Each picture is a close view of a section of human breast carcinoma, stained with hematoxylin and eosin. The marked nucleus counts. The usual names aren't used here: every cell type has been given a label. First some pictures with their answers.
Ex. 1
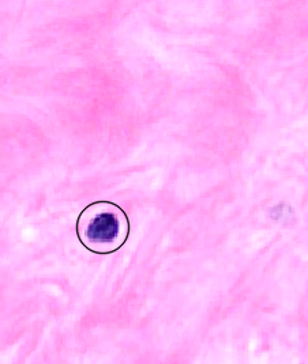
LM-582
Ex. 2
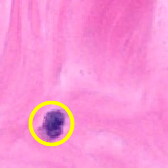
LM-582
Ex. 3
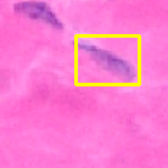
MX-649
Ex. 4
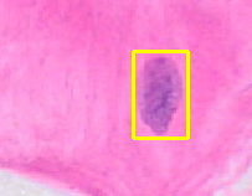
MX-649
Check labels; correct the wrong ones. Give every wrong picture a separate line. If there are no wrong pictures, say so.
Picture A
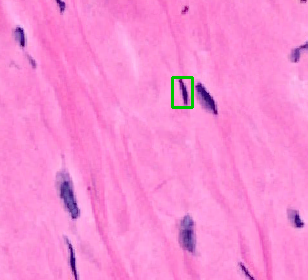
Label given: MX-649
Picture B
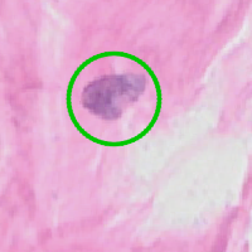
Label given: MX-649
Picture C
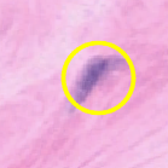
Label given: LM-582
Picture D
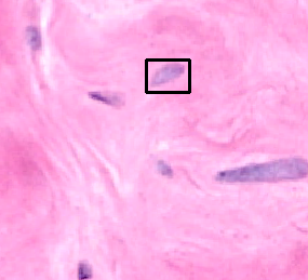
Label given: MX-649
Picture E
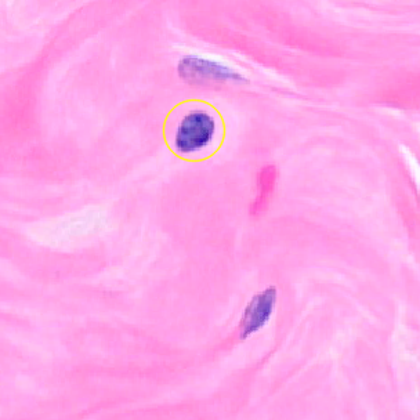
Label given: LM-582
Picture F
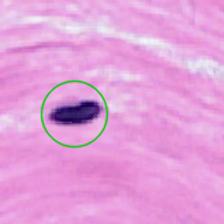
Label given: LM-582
C: not LM-582 but MX-649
